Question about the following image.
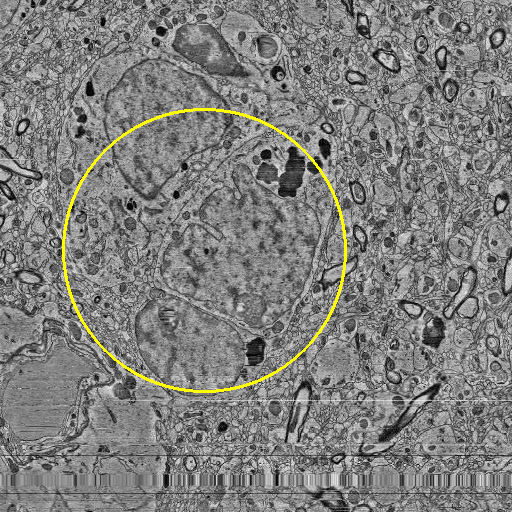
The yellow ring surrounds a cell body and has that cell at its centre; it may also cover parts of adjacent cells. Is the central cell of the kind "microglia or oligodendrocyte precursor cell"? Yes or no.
No, it is of another kind.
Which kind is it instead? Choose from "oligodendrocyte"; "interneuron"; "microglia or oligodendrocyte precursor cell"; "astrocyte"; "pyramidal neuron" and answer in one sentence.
The cell in question here is an interneuron.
